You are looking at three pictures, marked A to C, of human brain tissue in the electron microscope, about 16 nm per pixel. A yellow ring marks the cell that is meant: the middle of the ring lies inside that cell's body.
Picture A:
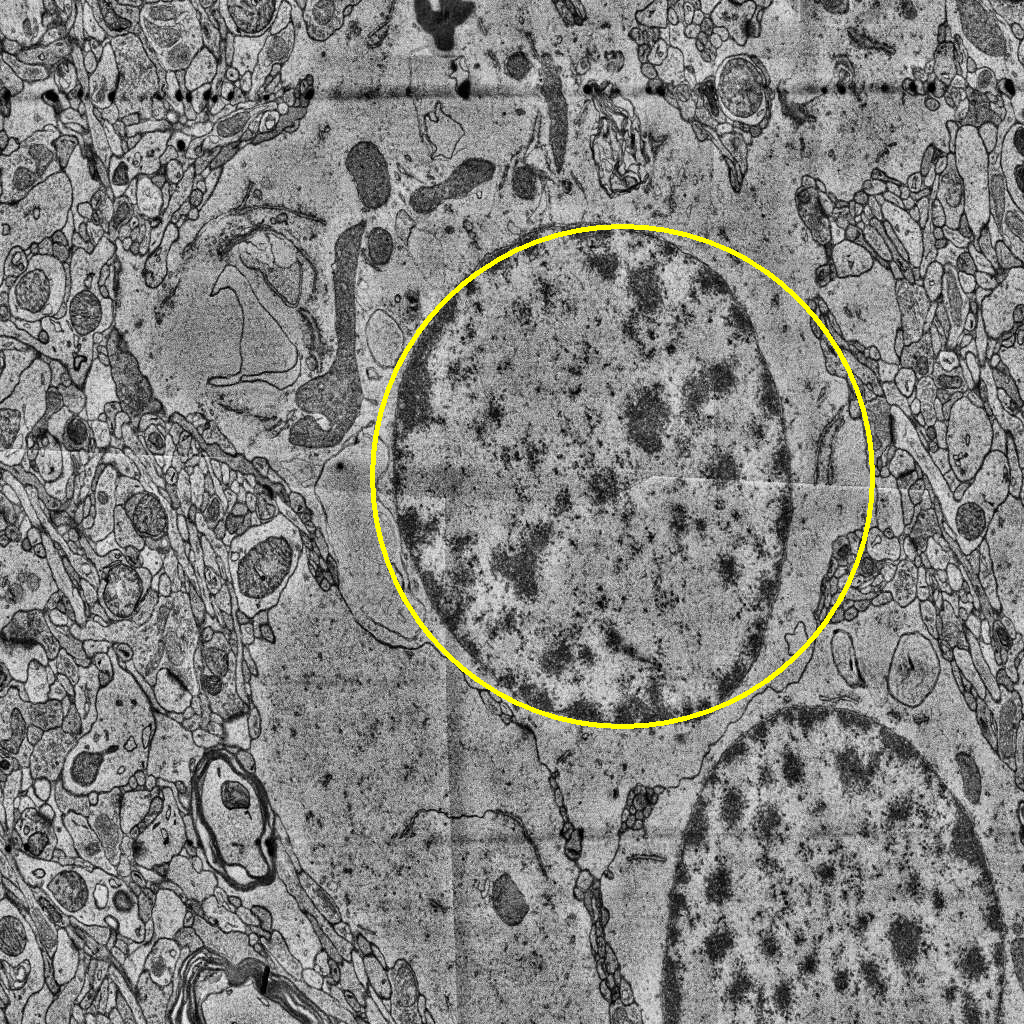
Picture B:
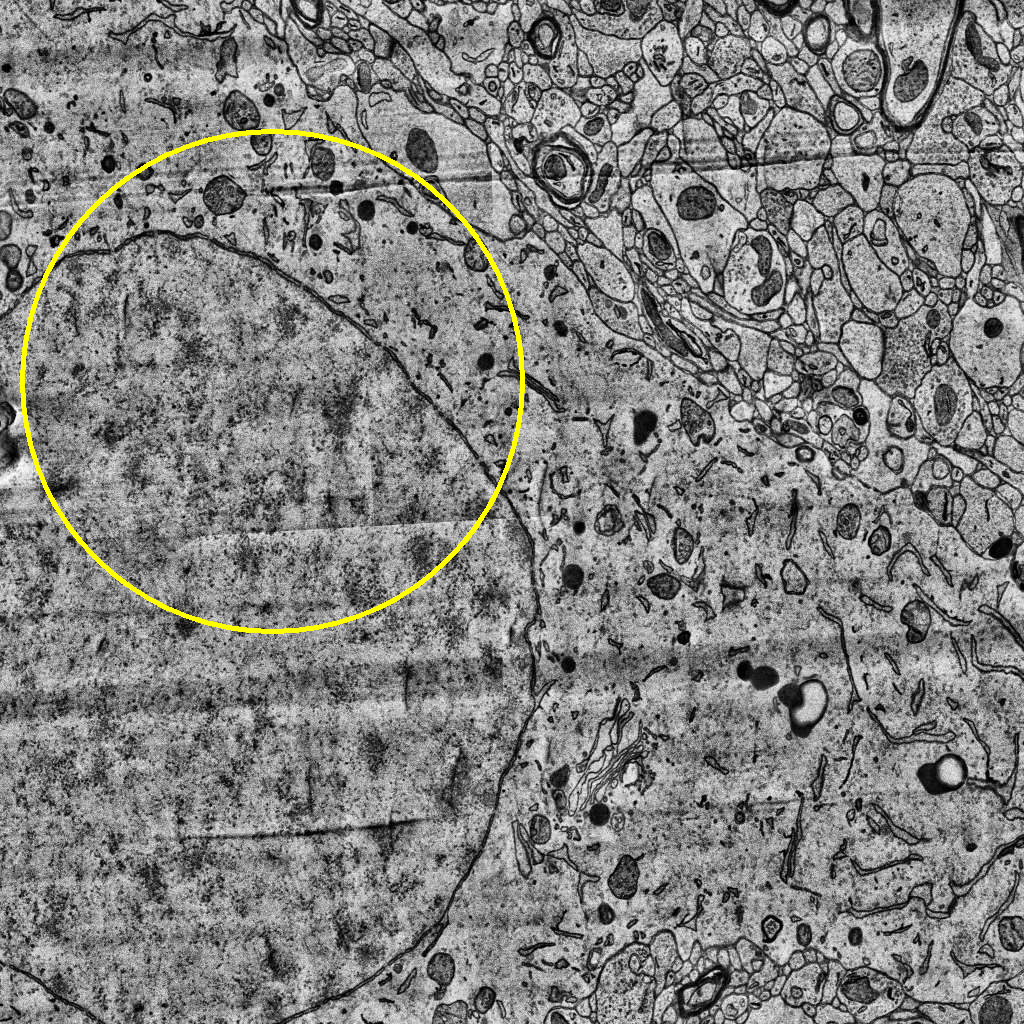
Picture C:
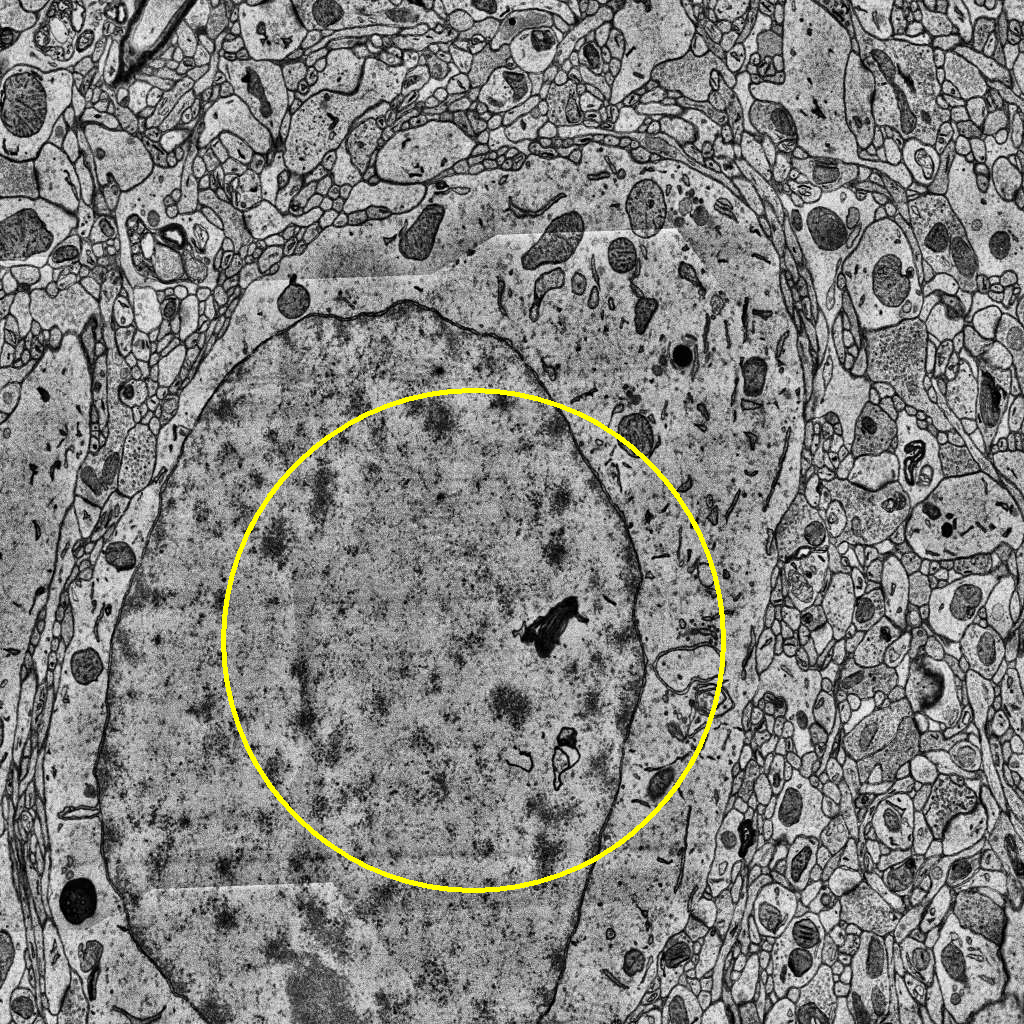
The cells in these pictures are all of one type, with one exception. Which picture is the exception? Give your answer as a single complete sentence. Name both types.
The different one is picture A; it shows an astrocyte, whereas all the others show pyramidal neurons.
